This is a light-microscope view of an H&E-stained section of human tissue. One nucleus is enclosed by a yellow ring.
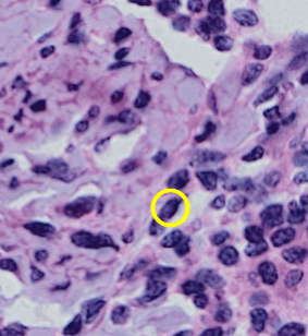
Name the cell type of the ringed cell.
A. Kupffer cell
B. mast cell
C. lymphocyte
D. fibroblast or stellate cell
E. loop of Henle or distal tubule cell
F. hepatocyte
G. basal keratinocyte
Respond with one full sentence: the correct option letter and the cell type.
Option C is the right choice, for the ringed cell is a lymphocyte.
